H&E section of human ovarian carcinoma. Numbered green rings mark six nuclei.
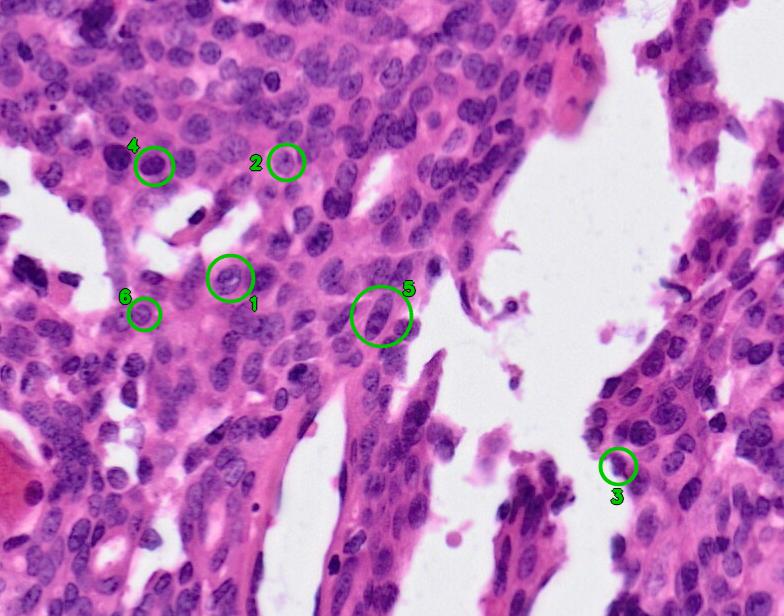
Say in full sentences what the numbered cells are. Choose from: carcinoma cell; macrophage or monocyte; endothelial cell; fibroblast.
Cell 1 is a macrophage or monocyte, cell 2 is a macrophage or monocyte, cell 3 is a carcinoma cell, cell 4 is a carcinoma cell, cell 5 is a carcinoma cell and cell 6 is a carcinoma cell.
